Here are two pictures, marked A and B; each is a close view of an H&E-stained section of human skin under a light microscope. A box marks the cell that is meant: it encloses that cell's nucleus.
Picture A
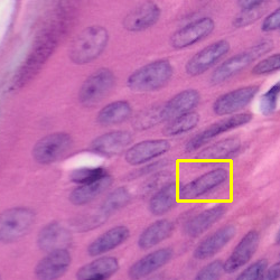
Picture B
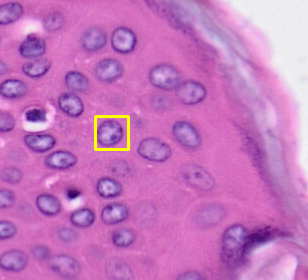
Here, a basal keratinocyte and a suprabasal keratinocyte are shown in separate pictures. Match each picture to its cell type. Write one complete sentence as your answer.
Picture B shows a suprabasal keratinocyte, while picture A shows a basal keratinocyte.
